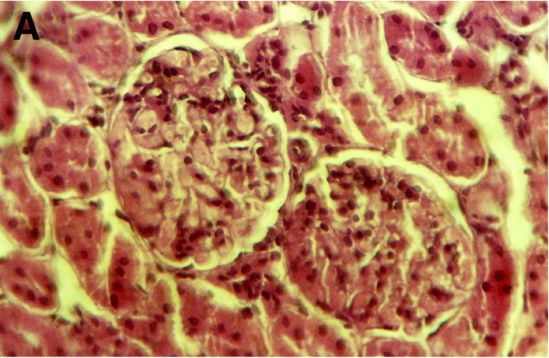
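Kidney cortex with two glomeruli, each a rounded tuft of capillary loops crowded with dark purple nuclei and enclosed by a thin Bowman capsule with a narrow clear space. Around them lie cross-sections of tubules lined by cuboidal cells with pink cytoplasm and round nuclei. The tubular lumina are small and the tubules are closely packed with thin clear gaps between them.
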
